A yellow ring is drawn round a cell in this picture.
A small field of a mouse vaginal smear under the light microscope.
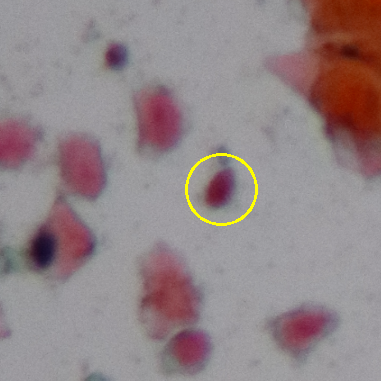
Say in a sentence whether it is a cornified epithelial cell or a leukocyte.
The cell in the ring is a leukocyte.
